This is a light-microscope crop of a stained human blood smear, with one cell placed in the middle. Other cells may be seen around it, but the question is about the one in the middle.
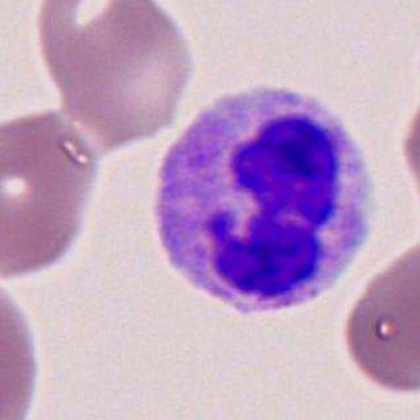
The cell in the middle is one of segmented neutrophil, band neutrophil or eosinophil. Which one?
segmented neutrophil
